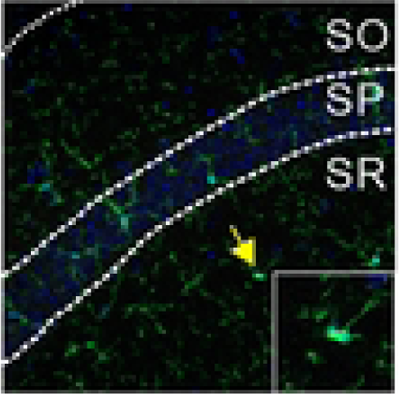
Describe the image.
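Hippocampal section with a dense band of blue nuclei bordered by dashed lines, and sparse green microglia spread through the layers above and below. The microglia have small bodies with thin branching processes, and little red is seen.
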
